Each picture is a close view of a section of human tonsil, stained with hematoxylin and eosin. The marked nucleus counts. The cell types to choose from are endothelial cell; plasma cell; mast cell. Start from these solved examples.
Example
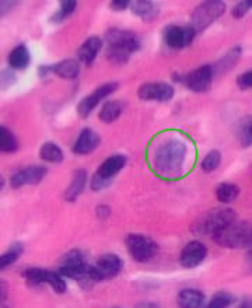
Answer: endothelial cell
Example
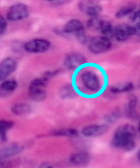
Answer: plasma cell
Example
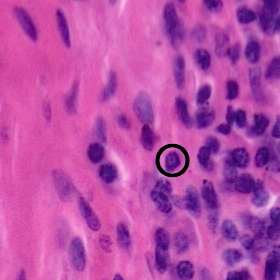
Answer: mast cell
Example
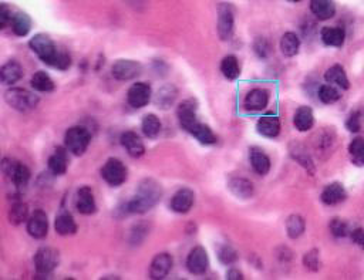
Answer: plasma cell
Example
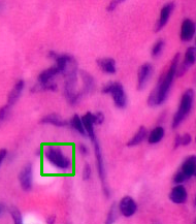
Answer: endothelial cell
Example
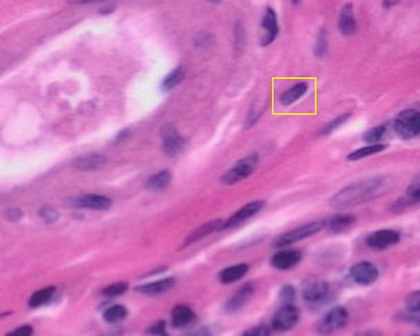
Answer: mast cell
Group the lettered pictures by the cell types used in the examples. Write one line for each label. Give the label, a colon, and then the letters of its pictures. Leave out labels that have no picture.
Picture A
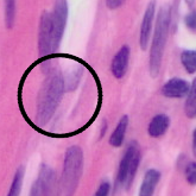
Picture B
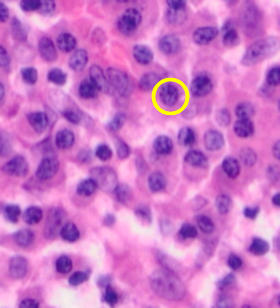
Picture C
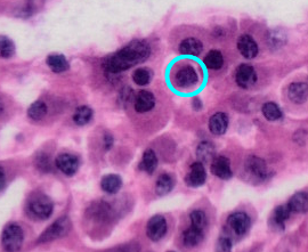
endothelial cell: A
plasma cell: B, C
